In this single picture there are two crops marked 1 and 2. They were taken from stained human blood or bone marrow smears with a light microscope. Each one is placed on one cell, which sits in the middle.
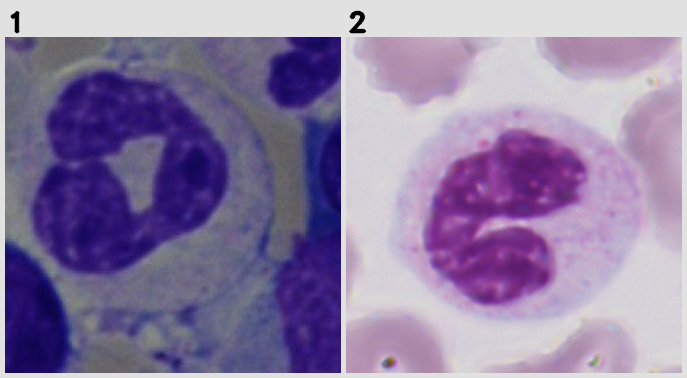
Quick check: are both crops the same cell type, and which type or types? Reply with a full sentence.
Yes, band neutrophils are centred in both crops.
